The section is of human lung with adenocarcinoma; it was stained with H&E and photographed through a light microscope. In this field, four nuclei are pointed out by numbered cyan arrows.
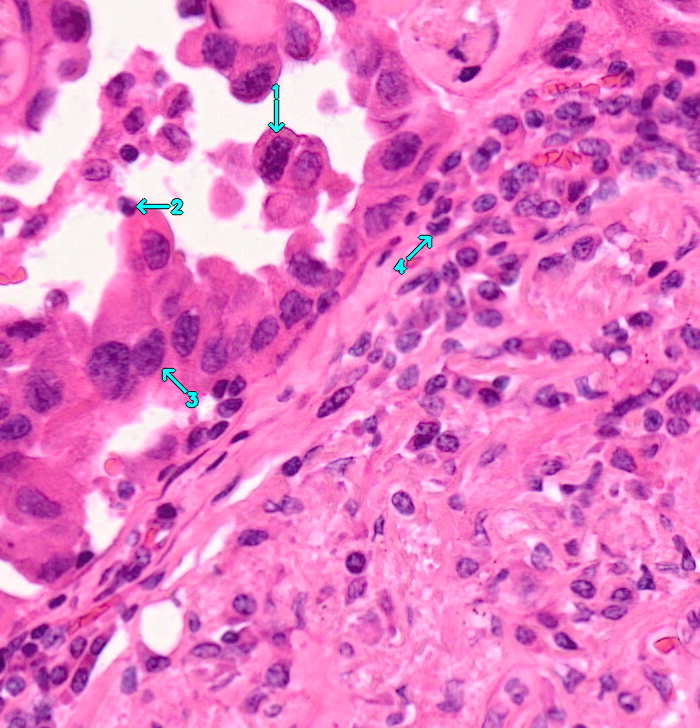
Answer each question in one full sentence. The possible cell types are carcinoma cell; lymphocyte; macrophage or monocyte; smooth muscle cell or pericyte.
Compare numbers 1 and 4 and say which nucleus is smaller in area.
Number 4 is smaller, since number 1 takes up about 4 times as much area.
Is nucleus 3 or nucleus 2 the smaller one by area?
Nucleus 2 is the smaller one; nucleus 3 covers about 4 times its area.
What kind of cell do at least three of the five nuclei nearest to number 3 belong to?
Carcinoma cells account for more than half of the five nuclei nearest to number 3.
